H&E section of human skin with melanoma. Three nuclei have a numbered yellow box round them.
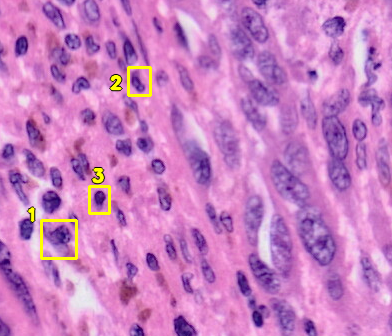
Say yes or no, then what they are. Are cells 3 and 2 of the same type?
Yes, cell 3 and cell 2 are both lymphocytes.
